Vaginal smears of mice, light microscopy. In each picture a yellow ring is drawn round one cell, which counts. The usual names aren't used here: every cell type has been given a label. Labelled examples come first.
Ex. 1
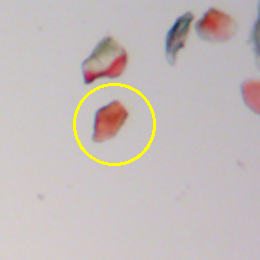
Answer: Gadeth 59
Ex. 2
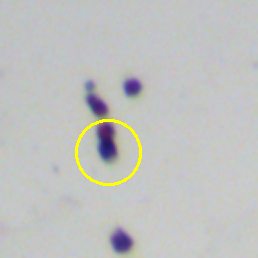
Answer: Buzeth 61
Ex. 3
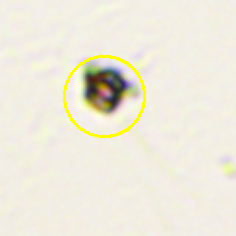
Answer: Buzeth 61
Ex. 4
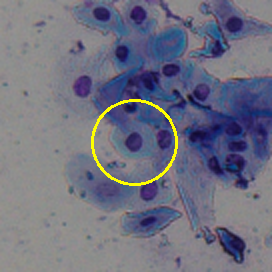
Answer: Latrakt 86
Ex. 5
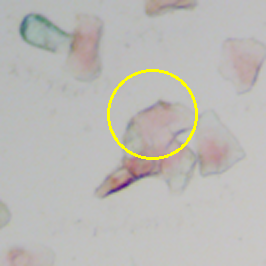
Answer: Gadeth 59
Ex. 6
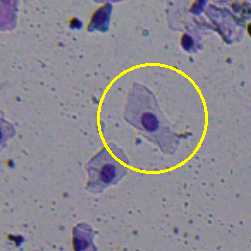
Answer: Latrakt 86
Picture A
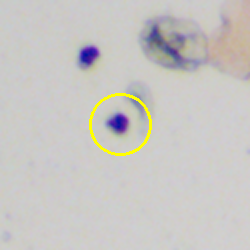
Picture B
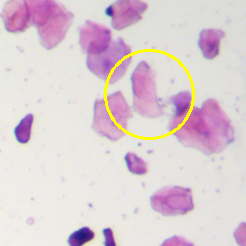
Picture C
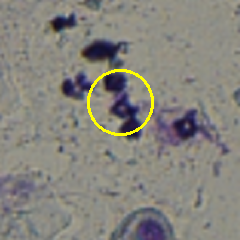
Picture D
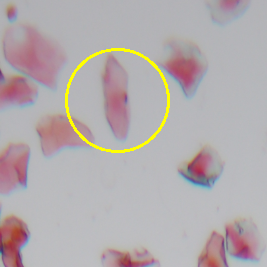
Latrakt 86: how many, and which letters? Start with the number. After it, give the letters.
0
